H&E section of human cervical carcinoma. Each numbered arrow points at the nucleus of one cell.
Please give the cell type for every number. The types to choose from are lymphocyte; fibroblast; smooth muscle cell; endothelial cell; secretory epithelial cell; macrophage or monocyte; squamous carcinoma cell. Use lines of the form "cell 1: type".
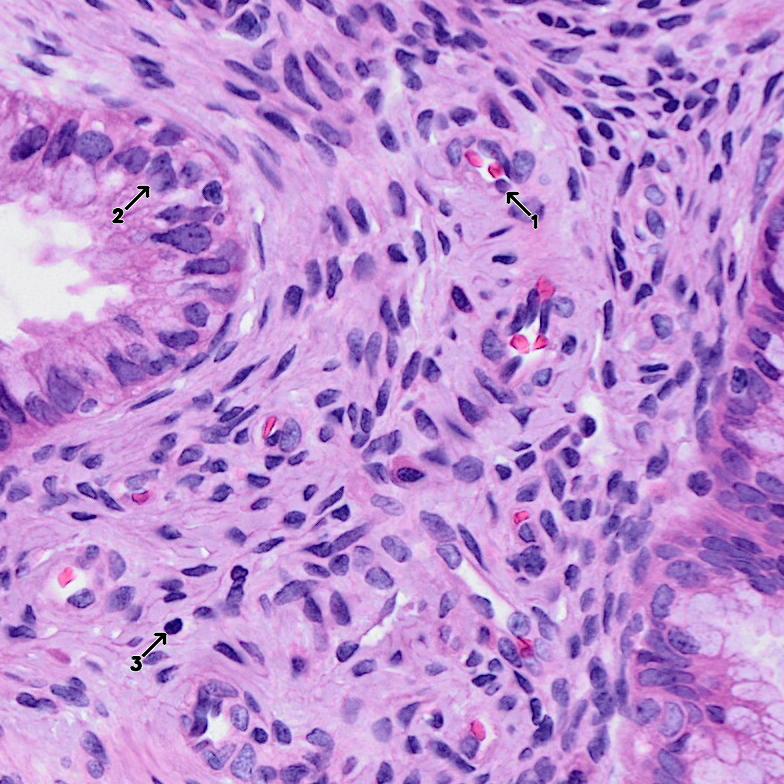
cell 1: endothelial cell
cell 2: secretory epithelial cell
cell 3: lymphocyte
